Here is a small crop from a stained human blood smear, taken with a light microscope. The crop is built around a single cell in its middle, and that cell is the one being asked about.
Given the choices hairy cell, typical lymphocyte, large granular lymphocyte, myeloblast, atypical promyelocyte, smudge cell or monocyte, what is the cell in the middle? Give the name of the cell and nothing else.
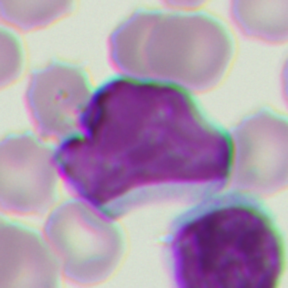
typical lymphocyte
